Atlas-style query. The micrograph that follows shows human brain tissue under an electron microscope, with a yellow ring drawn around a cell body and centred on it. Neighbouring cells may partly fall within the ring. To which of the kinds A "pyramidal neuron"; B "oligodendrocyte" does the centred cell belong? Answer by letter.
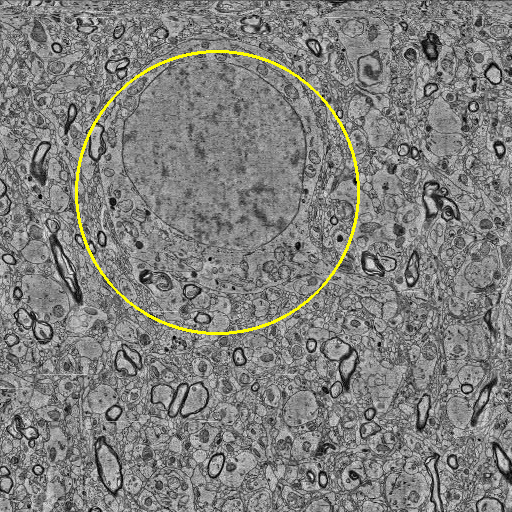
A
